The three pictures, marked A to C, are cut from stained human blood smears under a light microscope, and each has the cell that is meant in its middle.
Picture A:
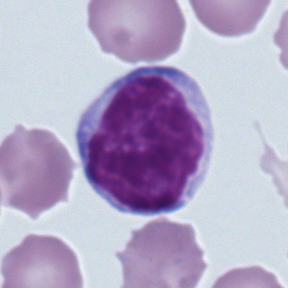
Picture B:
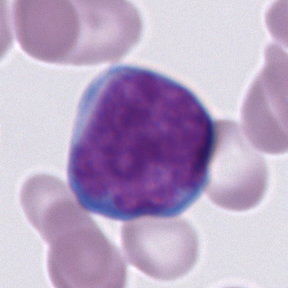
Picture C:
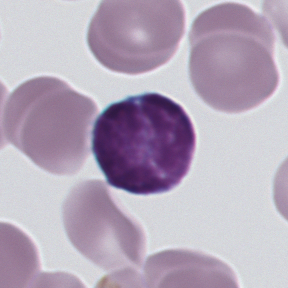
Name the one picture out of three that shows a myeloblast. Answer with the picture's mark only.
B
